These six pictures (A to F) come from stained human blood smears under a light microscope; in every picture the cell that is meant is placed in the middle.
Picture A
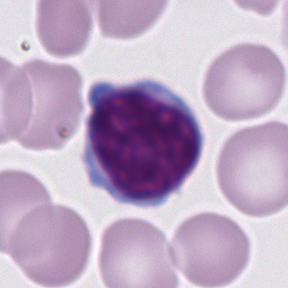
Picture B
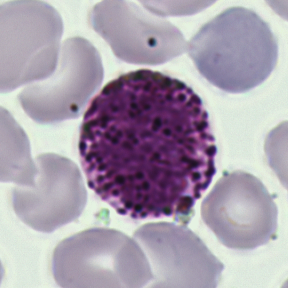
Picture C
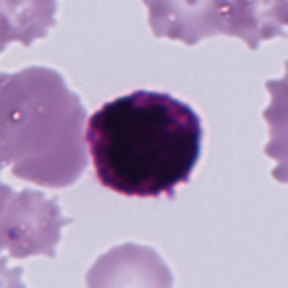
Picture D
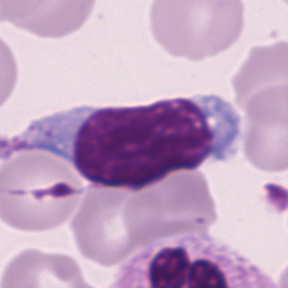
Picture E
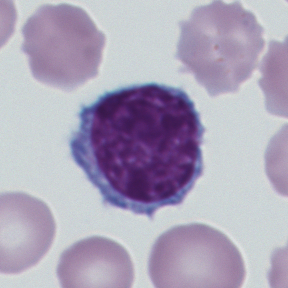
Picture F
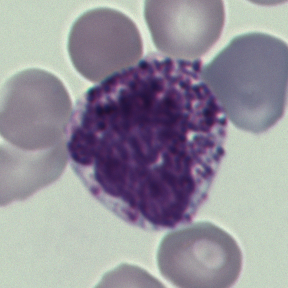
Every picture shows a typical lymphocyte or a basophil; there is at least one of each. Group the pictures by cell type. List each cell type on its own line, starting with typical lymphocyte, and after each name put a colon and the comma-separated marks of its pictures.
typical lymphocyte: A, D, E
basophil: B, C, F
